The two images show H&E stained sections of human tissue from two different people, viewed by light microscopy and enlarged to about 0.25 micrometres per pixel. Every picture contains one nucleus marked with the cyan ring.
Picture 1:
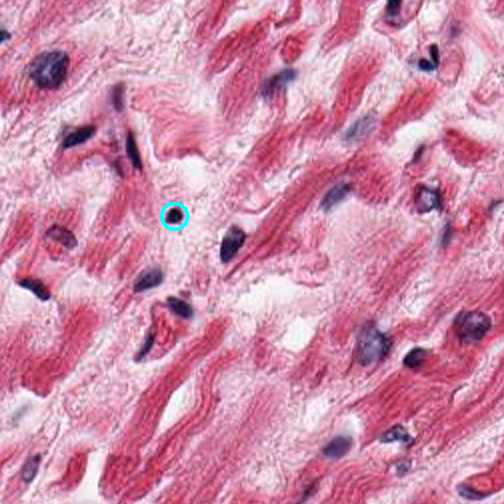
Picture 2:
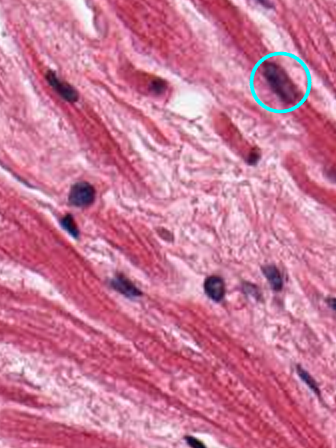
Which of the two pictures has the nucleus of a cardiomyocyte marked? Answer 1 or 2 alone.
2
